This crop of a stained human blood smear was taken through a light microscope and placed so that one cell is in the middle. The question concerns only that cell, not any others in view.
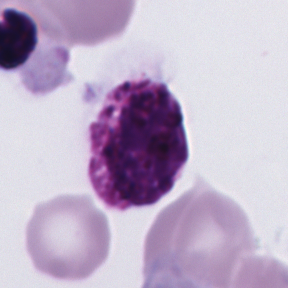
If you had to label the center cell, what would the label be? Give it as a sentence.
The centrally positioned cell in the crop represents a basophil.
